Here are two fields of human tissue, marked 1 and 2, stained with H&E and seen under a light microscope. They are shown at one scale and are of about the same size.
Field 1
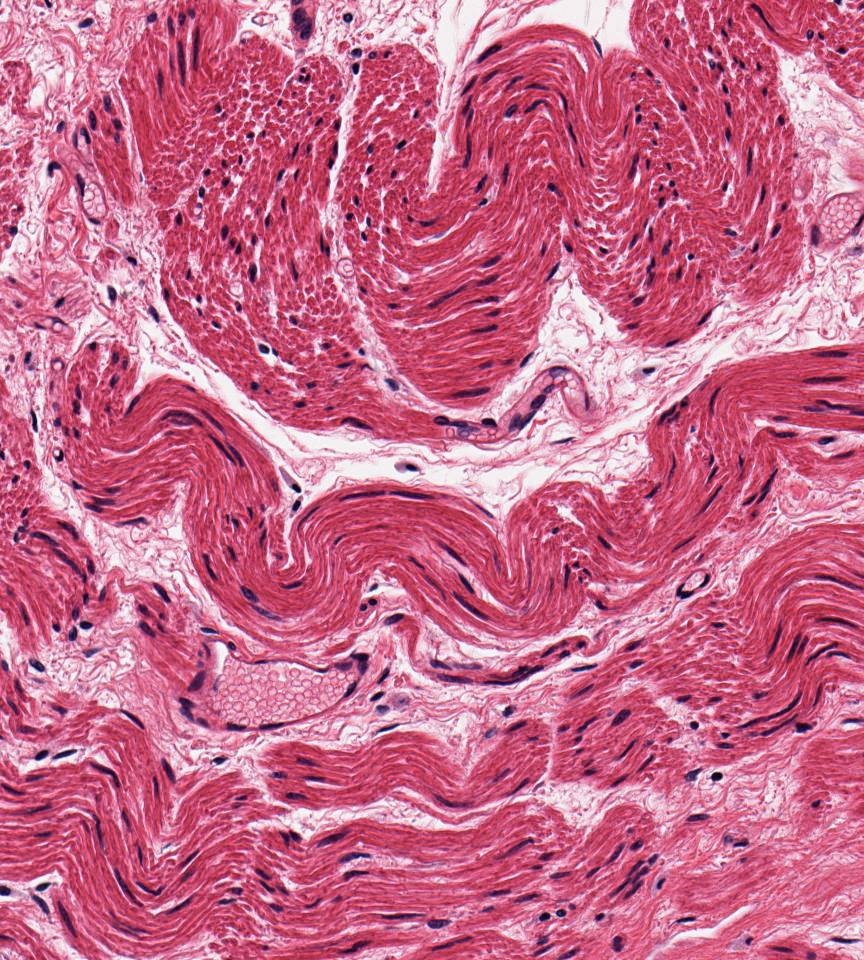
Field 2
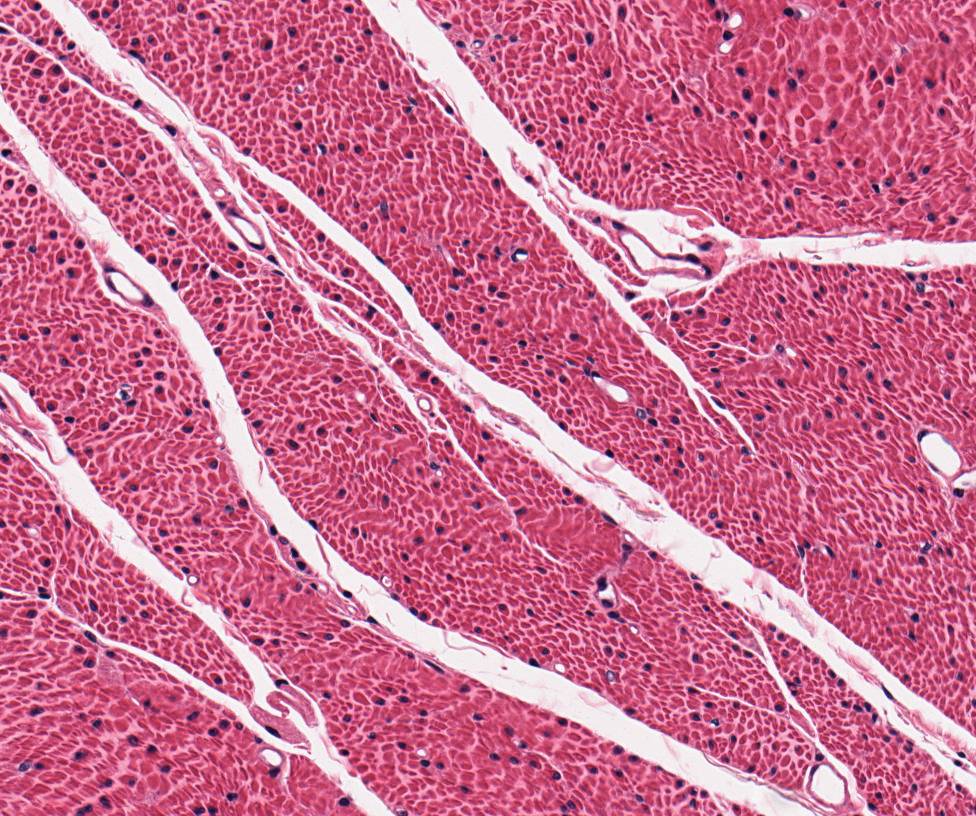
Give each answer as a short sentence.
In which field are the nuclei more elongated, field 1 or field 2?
On the whole the nuclei of field 1 are more drawn out than those of field 2.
